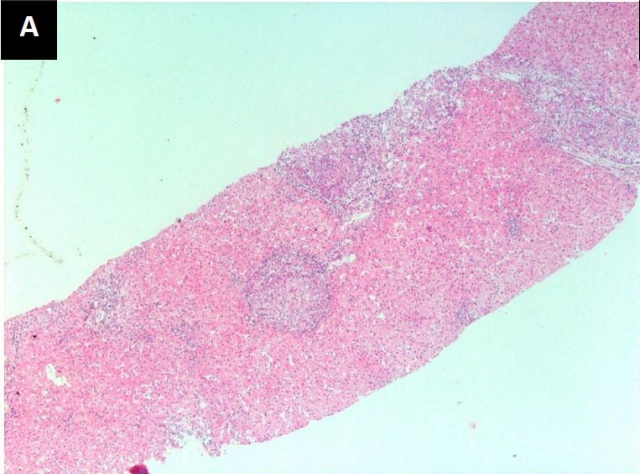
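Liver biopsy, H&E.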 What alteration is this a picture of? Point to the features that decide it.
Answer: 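Portal and lobular inflammation. Dense clusters of small dark nuclei lie in the portal areas and within the lobules. A round cellular nodule lies within the pink hepatic parenchyma.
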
